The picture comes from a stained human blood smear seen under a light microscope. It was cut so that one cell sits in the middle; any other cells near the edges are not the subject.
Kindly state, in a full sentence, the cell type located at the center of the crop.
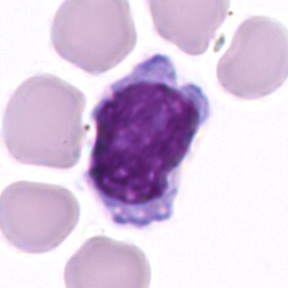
The cell sitting right in the middle is a plasma cell.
